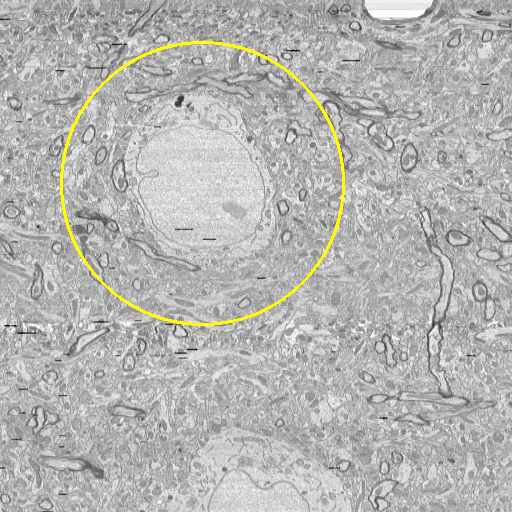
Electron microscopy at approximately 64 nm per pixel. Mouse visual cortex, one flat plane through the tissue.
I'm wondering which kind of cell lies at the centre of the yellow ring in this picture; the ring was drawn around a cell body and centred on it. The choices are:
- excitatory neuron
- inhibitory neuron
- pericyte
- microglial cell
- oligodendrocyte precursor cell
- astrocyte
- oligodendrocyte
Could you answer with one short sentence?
At the centre of the ring lies an excitatory neuron.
